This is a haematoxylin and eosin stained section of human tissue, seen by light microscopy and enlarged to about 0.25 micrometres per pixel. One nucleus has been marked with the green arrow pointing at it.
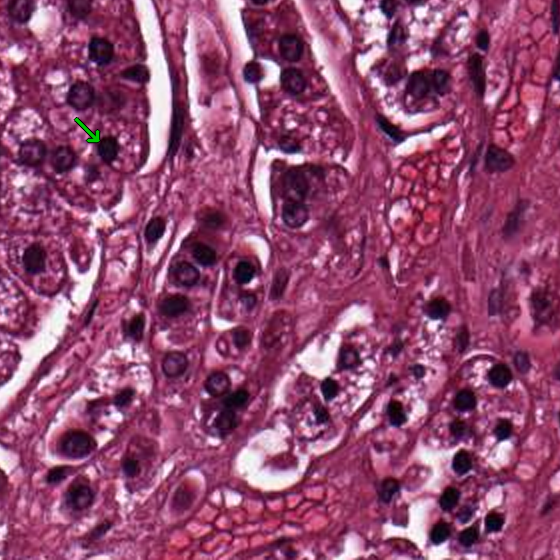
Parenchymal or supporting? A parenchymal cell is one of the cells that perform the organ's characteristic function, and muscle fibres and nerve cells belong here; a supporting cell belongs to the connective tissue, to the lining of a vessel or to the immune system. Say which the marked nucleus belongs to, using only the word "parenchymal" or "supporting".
parenchymal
